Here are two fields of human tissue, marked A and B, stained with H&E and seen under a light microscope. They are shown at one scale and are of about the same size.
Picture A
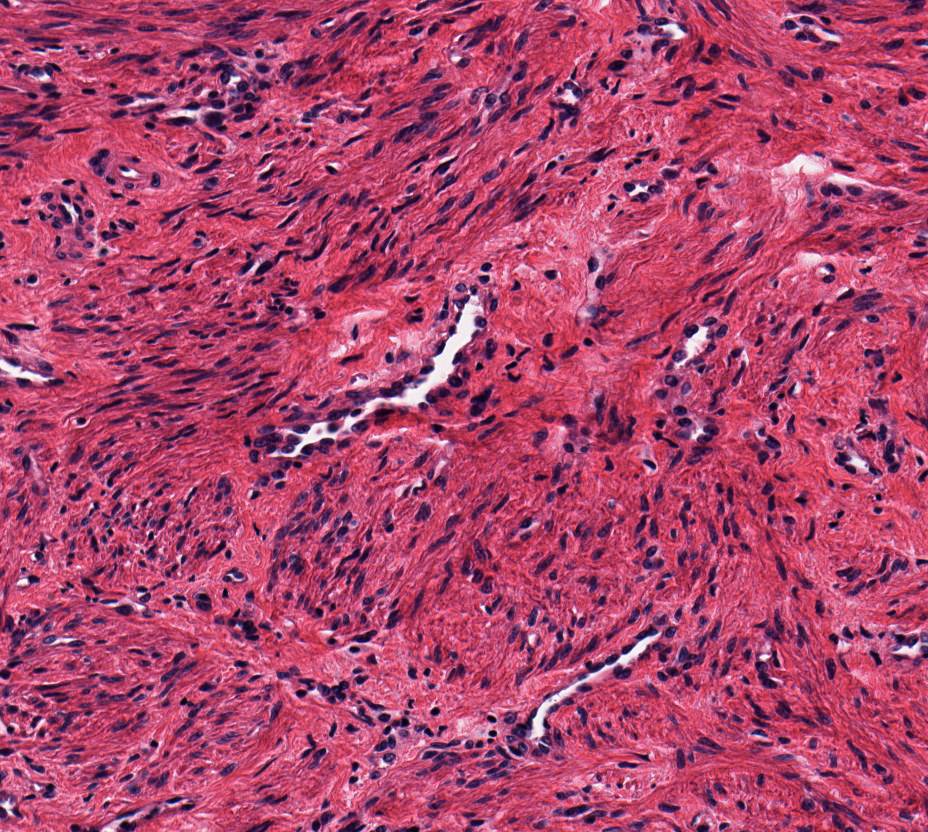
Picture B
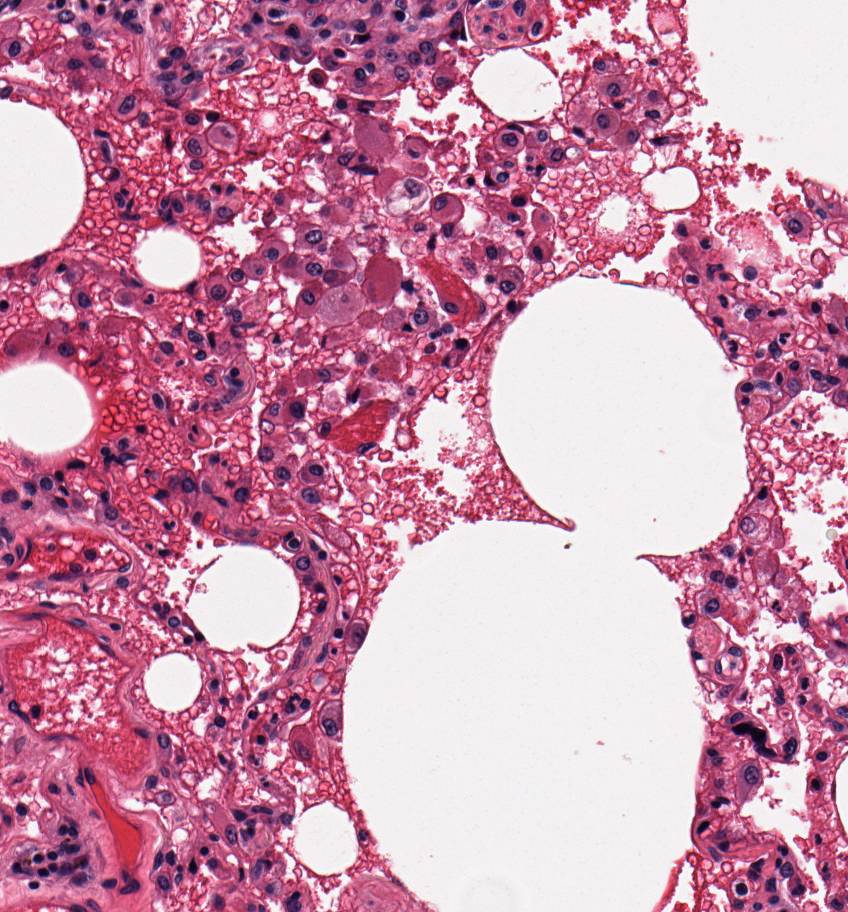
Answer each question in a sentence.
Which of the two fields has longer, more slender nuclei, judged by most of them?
It is picture A whose nuclei are the more elongated.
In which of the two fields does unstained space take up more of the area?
Unstained space takes up more of picture B than of picture A.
